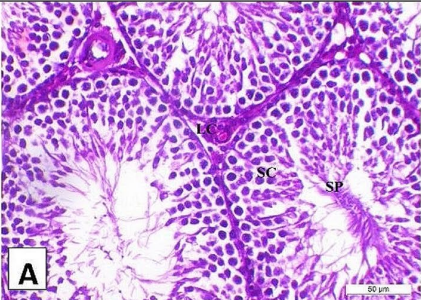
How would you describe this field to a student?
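Seminiferous tubules of the testis cut across, each lined by a thick multilayered epithelium of spermatogenic cells with round, dark purple nuclei, from cells resting on the thin basal wall to smaller cells nearer the lumen. The lumens are filled with pale pink, wavy bundles of sperm tails radiating toward the centre. Between neighbouring tubules lie narrow interstitial spaces holding a few interstitial Leydig cells with pink cytoplasm and a small blood vessel. The tubules are closely packed, the epithelium is orderly and no clear spaces or dense deposits disrupt it.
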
